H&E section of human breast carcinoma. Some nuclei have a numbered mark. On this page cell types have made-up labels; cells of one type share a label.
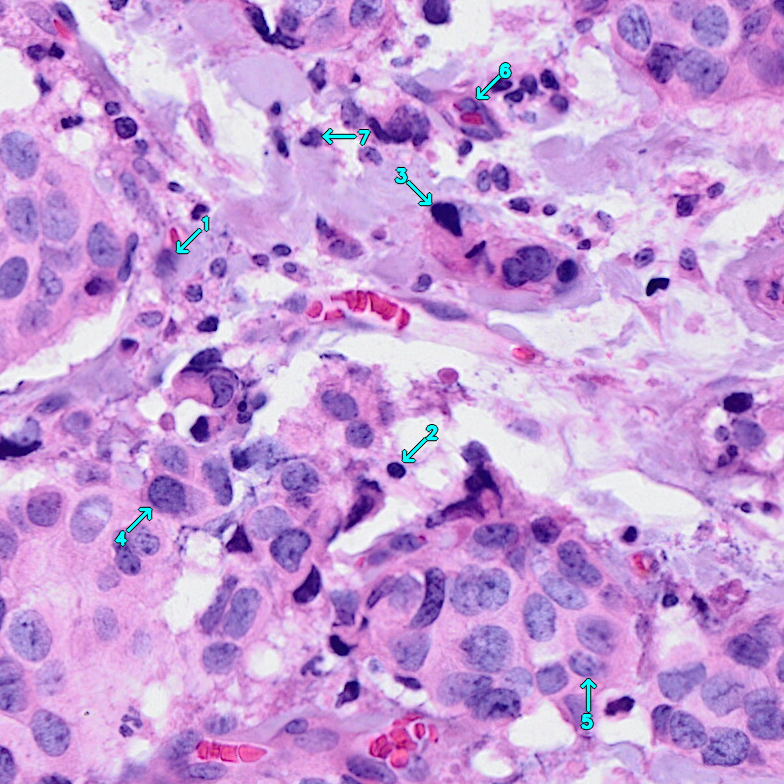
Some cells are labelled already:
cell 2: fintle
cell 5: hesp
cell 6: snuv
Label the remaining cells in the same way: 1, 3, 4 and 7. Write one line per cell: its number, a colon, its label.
1: snuv
3: hesp
4: hesp
7: fintle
